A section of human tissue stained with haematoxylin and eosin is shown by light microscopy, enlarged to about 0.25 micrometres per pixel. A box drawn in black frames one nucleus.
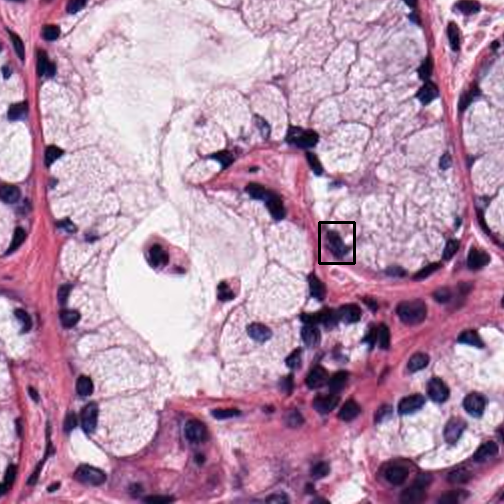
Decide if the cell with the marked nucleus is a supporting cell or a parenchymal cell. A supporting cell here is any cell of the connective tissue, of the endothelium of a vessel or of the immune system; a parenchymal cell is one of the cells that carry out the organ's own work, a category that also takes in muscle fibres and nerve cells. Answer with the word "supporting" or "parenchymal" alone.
parenchymal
